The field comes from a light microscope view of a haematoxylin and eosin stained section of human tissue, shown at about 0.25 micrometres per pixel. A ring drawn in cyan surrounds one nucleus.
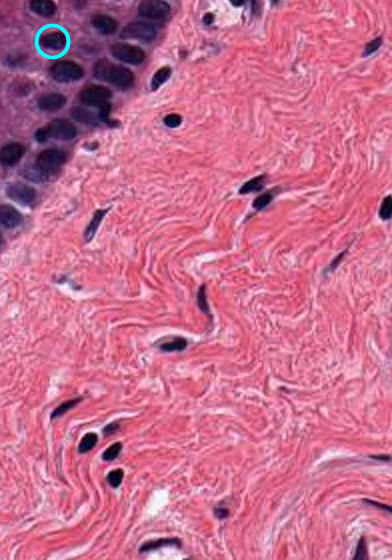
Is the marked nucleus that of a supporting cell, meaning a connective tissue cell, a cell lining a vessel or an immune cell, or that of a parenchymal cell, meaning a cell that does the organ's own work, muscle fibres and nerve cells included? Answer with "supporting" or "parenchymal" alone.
parenchymal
